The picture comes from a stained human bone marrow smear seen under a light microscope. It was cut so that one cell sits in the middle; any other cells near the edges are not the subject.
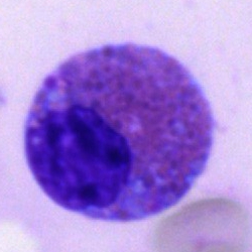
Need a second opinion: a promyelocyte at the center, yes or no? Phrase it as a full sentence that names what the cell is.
No, what sits in the centre of the crop is an eosinophil rather than a promyelocyte.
